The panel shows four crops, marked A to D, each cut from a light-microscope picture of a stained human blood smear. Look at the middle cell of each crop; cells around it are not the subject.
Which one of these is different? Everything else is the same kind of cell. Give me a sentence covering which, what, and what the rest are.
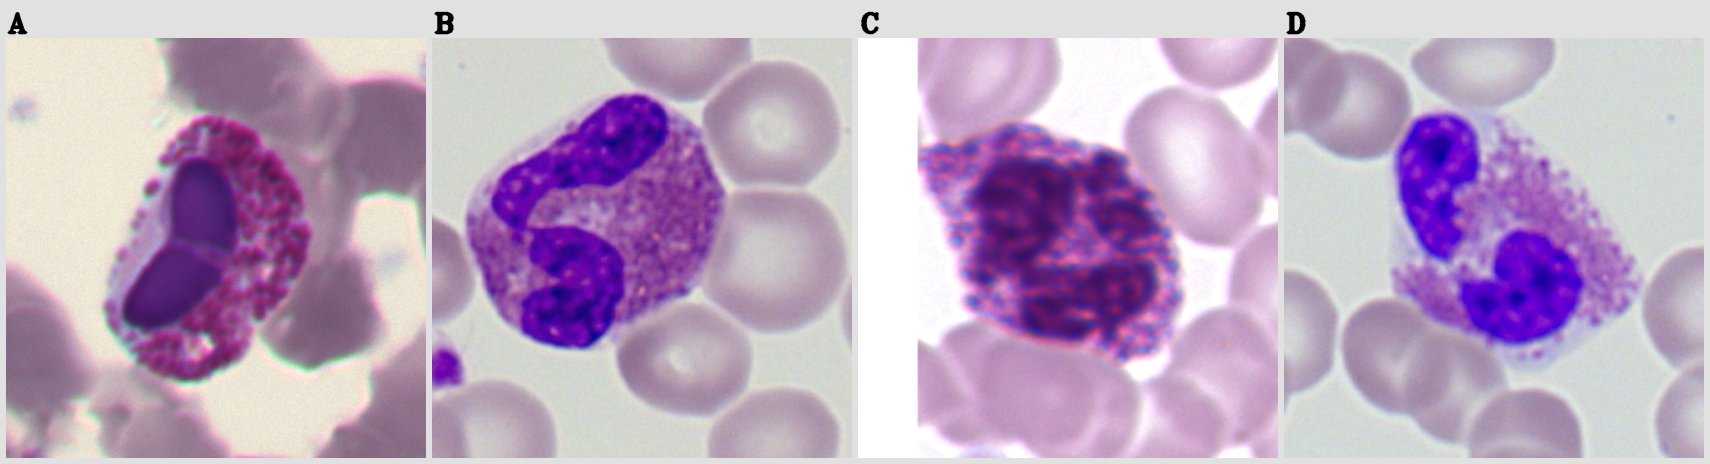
Excluding crop C, which is a basophil, the crops all show eosinophils.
